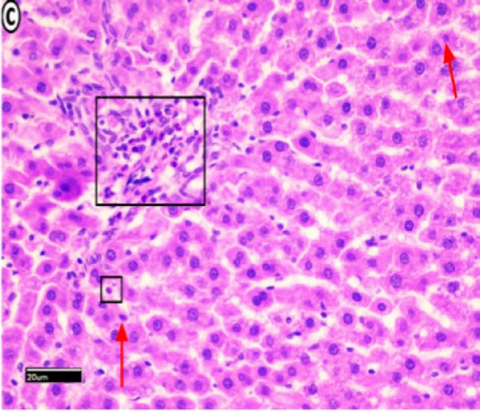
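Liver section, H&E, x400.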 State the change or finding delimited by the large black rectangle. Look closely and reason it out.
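Inflammatory cell infiltration. A cluster of small cells with dark, elongated or round nuclei and scant cytoplasm between liver cells.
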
